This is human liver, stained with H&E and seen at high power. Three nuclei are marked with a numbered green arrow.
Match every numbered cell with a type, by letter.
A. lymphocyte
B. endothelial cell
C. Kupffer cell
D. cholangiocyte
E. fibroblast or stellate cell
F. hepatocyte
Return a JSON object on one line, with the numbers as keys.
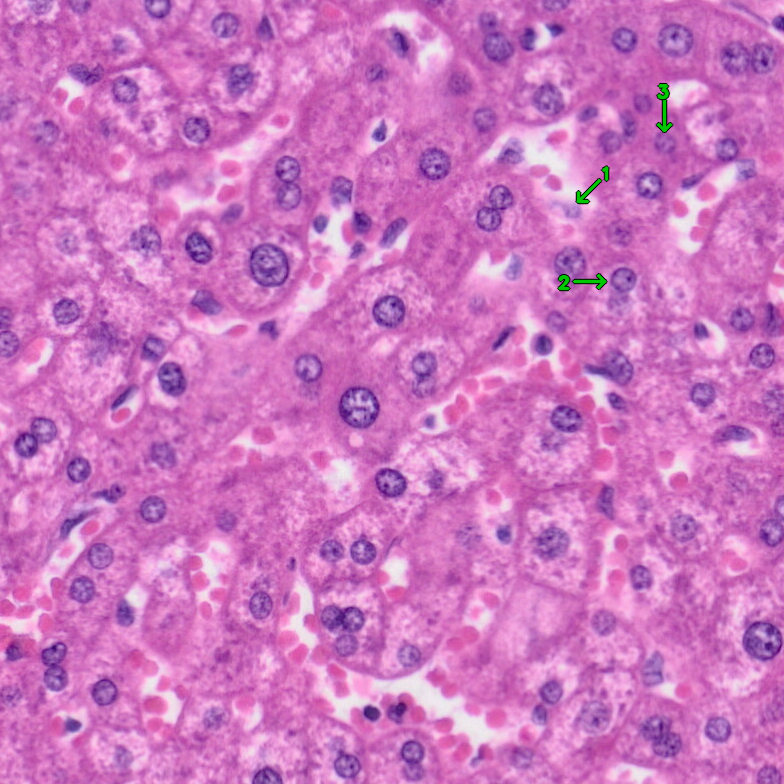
{"1": "C", "2": "F", "3": "F"}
